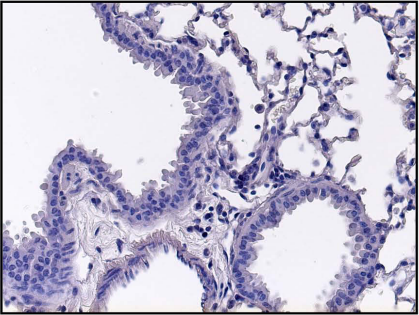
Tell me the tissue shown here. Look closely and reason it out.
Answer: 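Small airways with open lumens are lined by a single layer of cuboidal to low columnar epithelial cells. Thin-walled alveoli lie around the airways.
Answer: bronchioles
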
